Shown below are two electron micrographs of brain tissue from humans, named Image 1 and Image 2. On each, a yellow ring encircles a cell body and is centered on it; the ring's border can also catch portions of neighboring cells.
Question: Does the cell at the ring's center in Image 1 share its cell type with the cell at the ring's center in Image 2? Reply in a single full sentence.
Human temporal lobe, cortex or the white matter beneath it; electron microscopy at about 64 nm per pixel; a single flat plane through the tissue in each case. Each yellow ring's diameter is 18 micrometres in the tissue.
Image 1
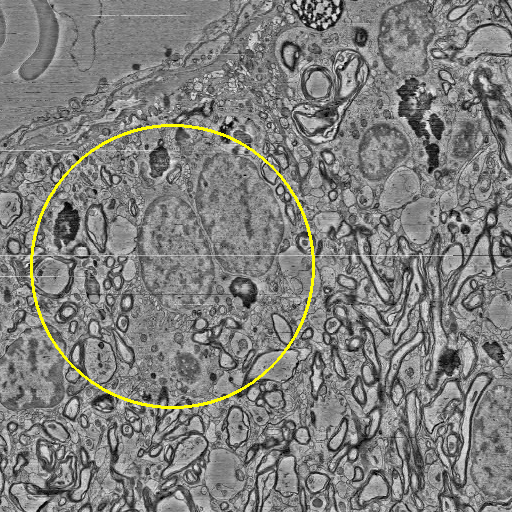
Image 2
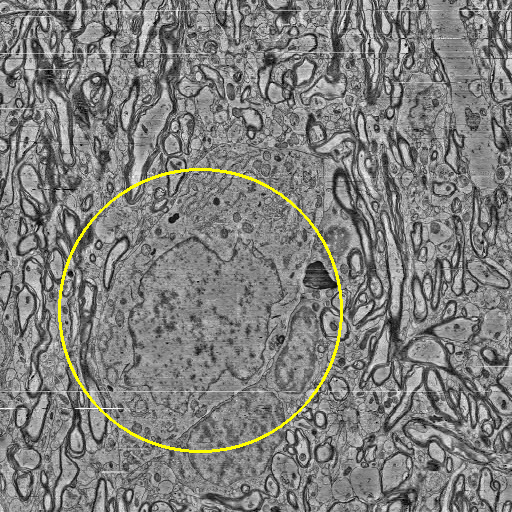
No, the two cells at the ring centers, in Image 1 and Image 2, are of two cell types.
